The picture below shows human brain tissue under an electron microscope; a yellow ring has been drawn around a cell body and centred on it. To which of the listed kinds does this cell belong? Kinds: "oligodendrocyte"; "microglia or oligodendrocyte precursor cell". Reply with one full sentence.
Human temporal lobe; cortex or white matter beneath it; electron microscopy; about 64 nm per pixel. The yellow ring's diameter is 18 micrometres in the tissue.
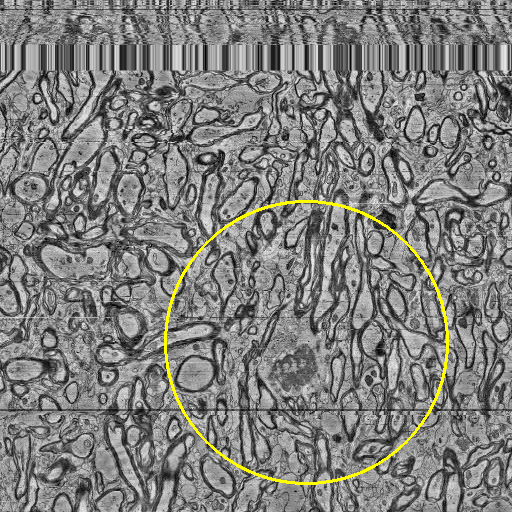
It is an oligodendrocyte that the yellow ring in the picture is centred on.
